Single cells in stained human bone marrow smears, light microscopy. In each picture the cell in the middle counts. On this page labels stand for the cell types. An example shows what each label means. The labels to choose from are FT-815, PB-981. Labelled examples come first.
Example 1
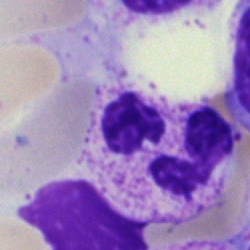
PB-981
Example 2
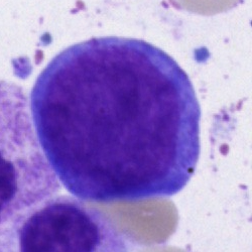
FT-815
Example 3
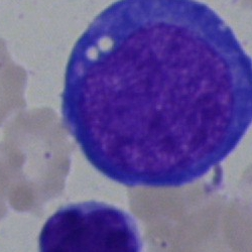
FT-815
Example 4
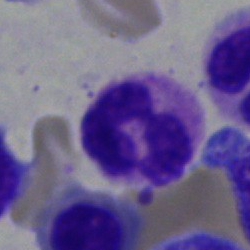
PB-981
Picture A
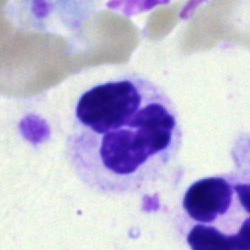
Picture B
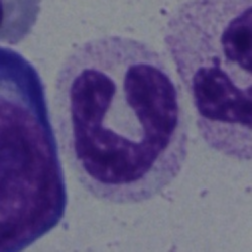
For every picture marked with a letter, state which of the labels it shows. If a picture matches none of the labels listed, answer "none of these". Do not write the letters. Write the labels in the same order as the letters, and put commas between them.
PB-981, none of these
